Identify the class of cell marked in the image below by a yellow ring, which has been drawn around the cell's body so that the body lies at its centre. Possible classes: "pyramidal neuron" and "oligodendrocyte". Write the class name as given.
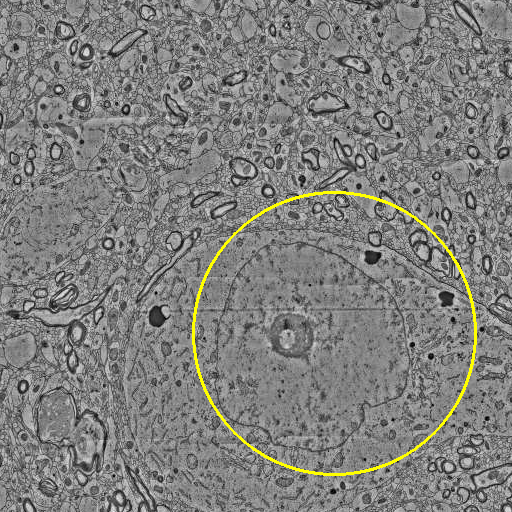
pyramidal neuron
